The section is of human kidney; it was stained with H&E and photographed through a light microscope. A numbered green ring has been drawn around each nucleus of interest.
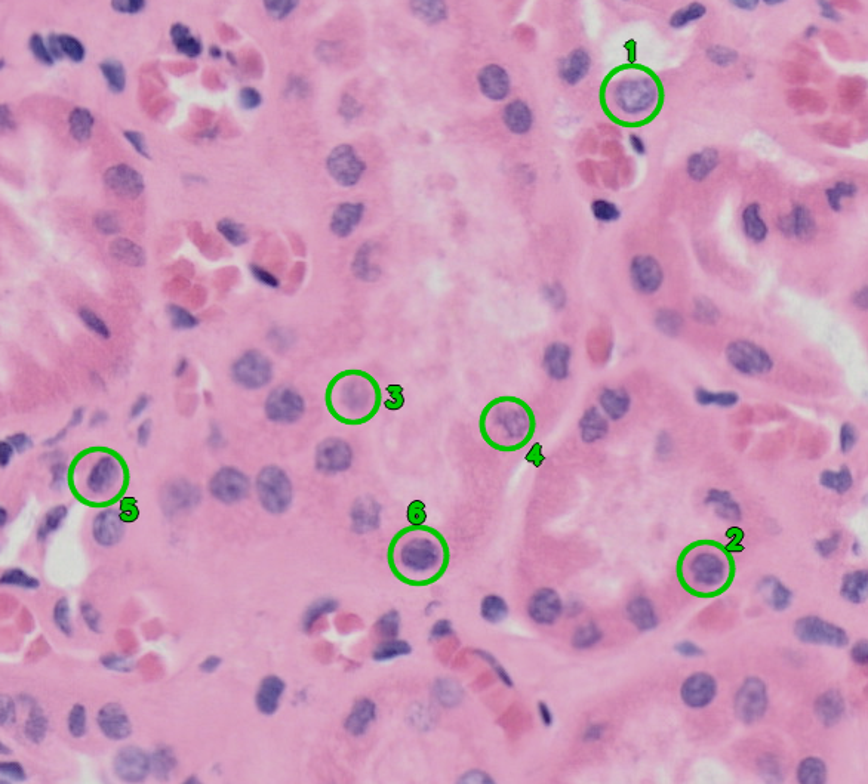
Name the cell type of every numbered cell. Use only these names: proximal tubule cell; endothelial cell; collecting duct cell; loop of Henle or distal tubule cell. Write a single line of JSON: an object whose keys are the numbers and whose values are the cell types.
{"1": "loop of Henle or distal tubule cell", "2": "proximal tubule cell", "3": "proximal tubule cell", "4": "proximal tubule cell", "5": "loop of Henle or distal tubule cell", "6": "proximal tubule cell"}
